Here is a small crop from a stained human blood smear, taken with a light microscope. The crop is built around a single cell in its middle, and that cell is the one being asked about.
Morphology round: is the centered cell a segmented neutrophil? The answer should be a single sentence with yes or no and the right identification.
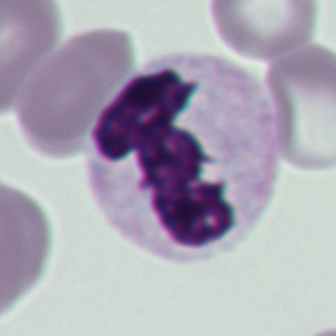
Yes, the cell at the centre of this crop is identified as a segmented neutrophil.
